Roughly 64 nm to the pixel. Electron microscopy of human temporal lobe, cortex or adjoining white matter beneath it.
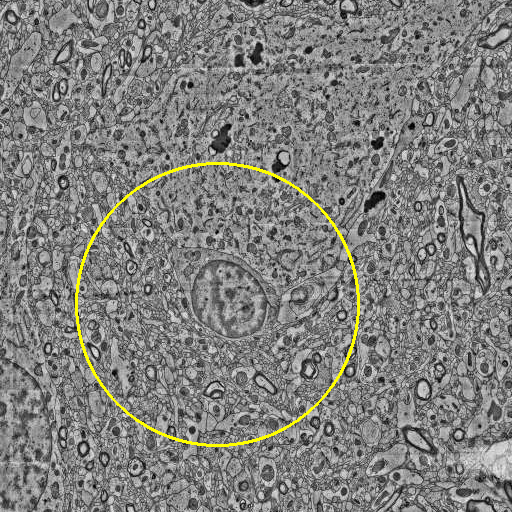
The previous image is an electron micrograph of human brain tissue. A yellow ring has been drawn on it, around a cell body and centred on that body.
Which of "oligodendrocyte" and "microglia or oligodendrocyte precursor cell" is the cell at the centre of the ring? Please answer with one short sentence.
The cell body at the centre of the ring belongs to an oligodendrocyte.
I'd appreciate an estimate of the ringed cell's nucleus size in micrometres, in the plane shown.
In this plane the ringed cell's nucleus is roughly 5 micrometres across.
